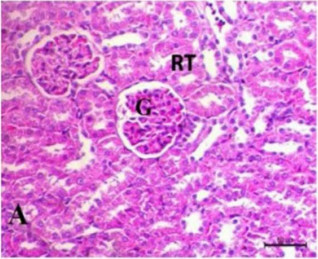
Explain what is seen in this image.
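Kidney cortex with two round glomeruli, each a tuft of capillary loops and purple nuclei inside a thin capsule with a narrow clear space. Around them lie closely packed tubules cut in cross and oblique section, lined by a single layer of pink cuboidal cells with round purple nuclei around small open lumina. The tubules are evenly arranged with little tissue between them, and no material fills their lumina. This is normal renal architecture with intact glomeruli and renal tubules.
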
